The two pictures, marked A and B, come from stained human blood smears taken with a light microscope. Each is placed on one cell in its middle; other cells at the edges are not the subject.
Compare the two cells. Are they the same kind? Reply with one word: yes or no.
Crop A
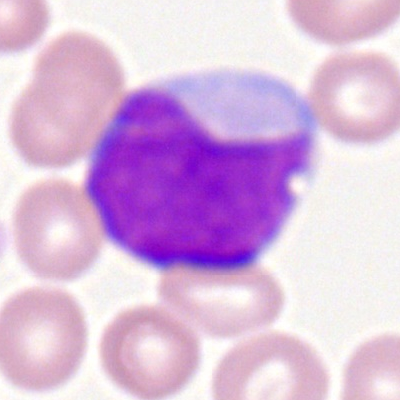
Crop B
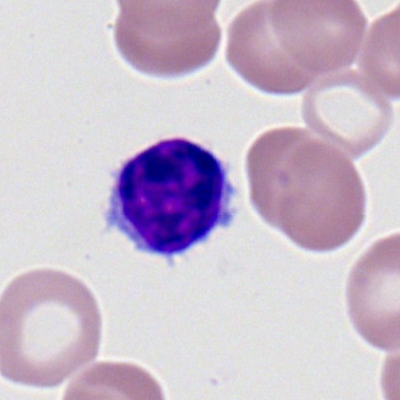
no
